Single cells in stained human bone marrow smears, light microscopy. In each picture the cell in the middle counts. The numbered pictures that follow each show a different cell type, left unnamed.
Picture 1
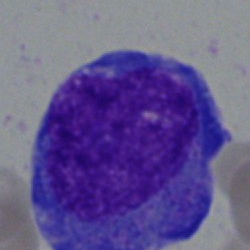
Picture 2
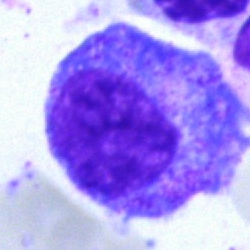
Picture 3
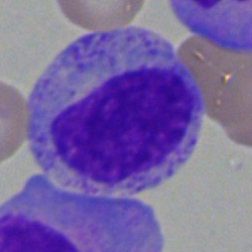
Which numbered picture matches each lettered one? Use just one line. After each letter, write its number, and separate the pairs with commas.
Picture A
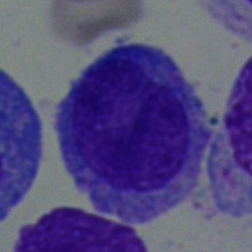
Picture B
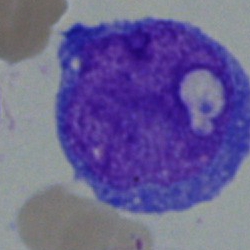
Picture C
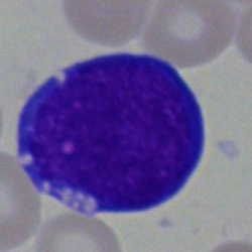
A 1, B 1, C 1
